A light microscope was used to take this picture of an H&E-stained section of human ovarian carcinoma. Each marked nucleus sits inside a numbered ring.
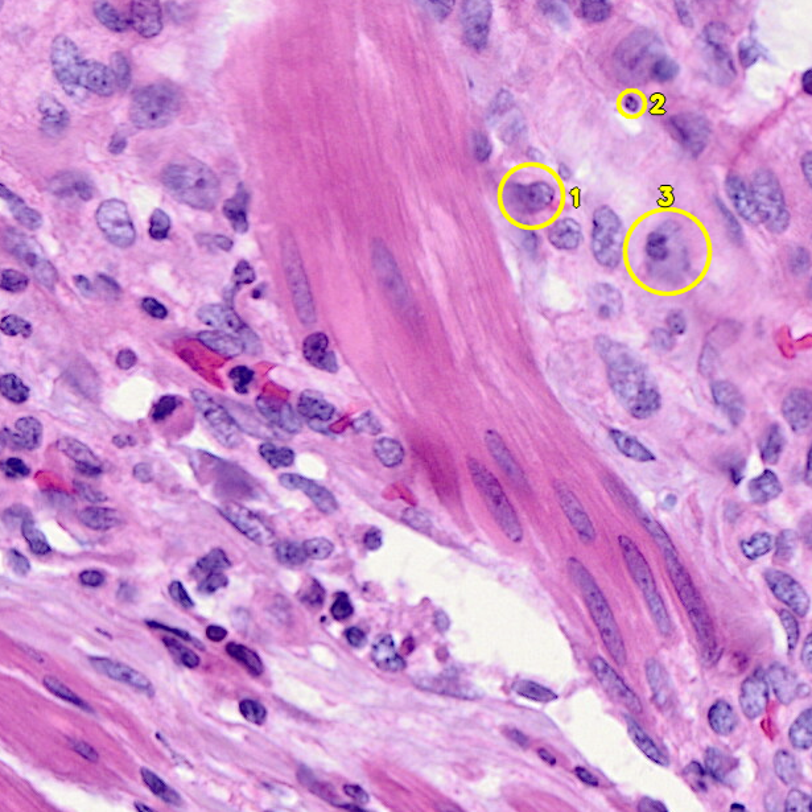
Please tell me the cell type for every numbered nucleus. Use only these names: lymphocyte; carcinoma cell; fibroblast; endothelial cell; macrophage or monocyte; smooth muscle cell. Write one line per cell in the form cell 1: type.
cell 1: endothelial cell
cell 2: lymphocyte
cell 3: fibroblast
